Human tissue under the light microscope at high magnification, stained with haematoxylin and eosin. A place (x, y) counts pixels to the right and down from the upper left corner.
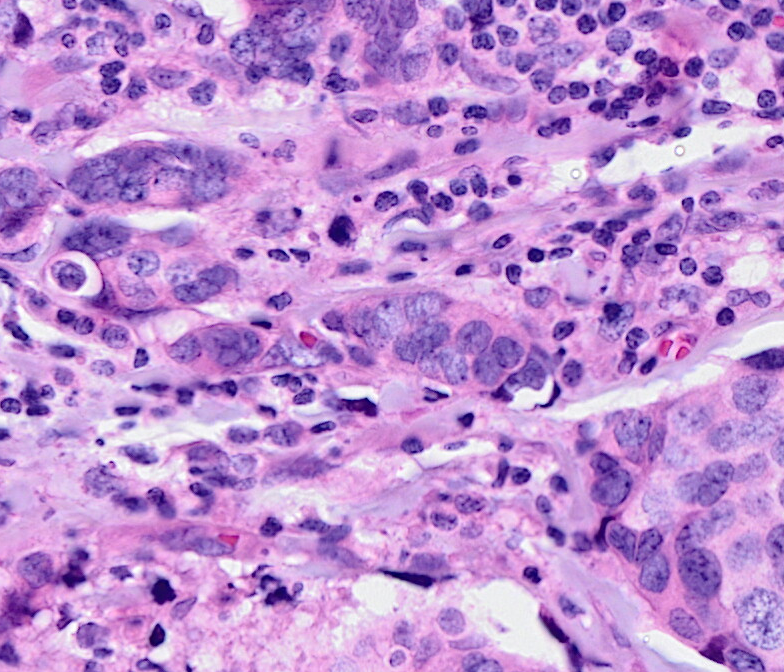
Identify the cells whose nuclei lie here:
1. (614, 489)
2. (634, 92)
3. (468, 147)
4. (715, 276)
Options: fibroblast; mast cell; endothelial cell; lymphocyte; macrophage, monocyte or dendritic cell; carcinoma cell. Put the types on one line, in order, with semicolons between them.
carcinoma cell; lymphocyte; lymphocyte; lymphocyte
